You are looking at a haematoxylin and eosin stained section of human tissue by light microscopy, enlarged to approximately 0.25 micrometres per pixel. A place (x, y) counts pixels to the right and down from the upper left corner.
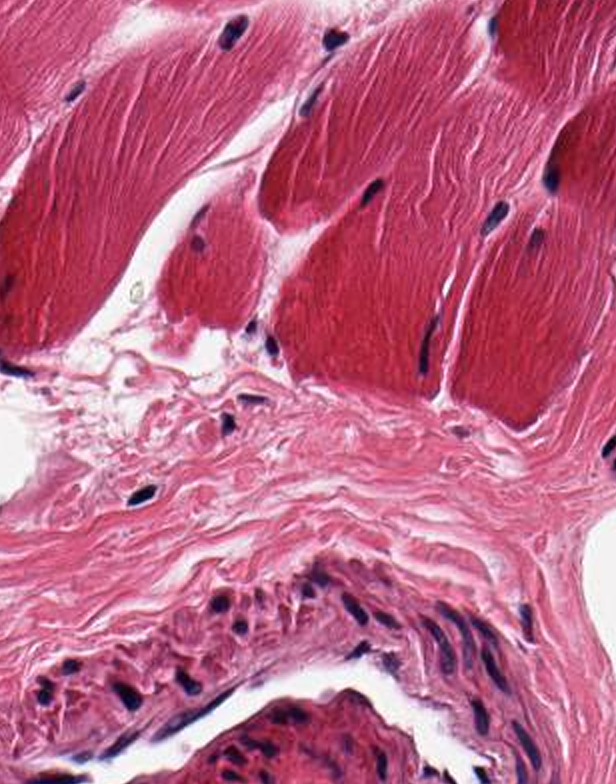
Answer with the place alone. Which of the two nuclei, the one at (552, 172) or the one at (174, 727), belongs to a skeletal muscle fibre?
(552, 172)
